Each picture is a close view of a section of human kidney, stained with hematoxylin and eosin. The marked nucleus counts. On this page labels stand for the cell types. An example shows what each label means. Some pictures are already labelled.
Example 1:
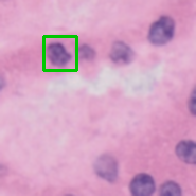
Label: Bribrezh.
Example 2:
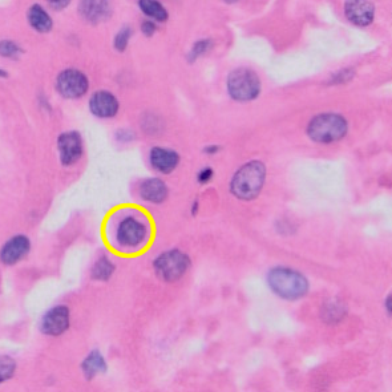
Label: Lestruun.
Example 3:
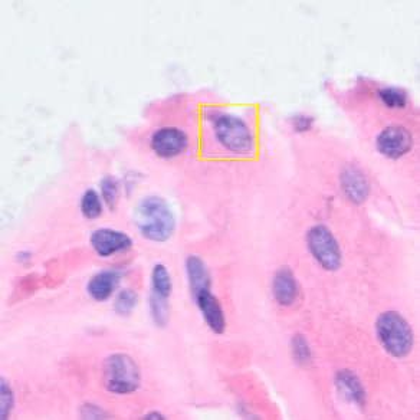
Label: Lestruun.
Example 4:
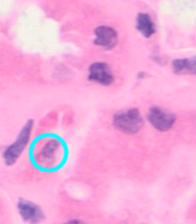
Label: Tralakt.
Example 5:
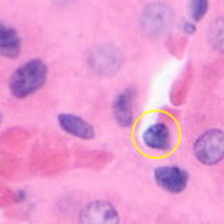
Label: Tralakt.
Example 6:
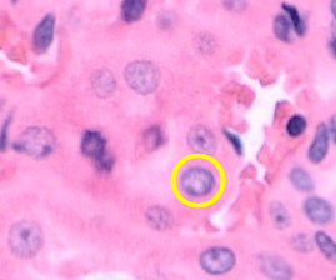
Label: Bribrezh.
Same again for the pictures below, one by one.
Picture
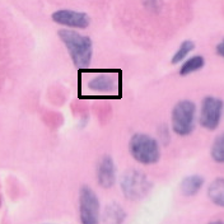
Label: Tralakt.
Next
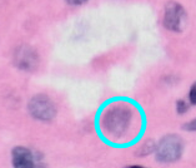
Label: Lestruun.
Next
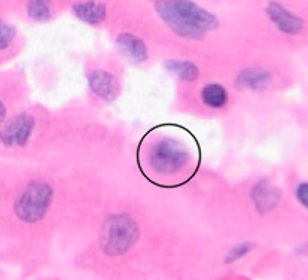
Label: Lestruun.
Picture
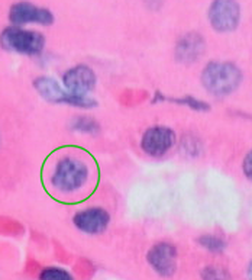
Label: Lestruun.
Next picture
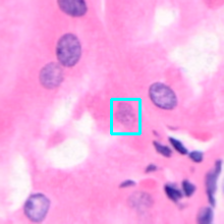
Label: Bribrezh.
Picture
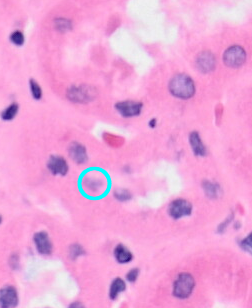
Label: Lestruun.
